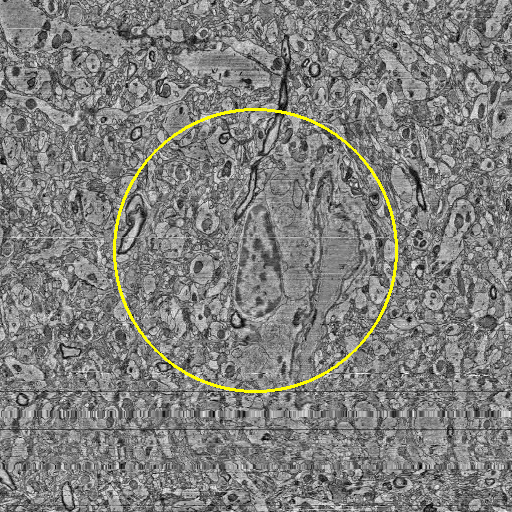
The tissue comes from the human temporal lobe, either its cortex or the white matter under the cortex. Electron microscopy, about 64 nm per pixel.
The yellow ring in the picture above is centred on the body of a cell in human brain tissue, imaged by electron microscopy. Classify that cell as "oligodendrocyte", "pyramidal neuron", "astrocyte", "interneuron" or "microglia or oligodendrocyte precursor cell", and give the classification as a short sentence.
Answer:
The cell in the middle of the ring is a microglial cell or oligodendrocyte precursor cell.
